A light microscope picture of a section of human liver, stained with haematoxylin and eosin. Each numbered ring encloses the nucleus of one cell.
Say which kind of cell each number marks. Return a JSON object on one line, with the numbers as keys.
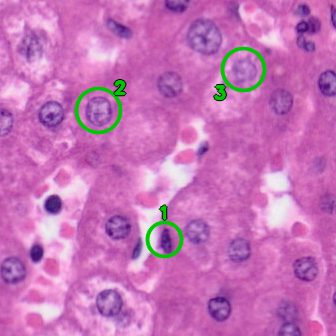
{"1": "fibroblast or stellate cell", "2": "hepatocyte", "3": "hepatocyte"}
